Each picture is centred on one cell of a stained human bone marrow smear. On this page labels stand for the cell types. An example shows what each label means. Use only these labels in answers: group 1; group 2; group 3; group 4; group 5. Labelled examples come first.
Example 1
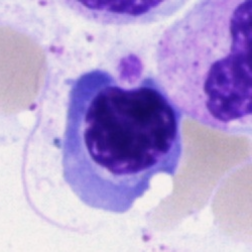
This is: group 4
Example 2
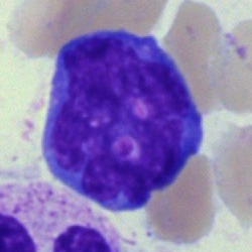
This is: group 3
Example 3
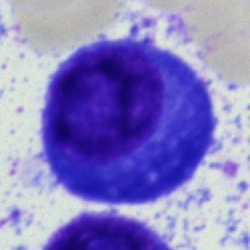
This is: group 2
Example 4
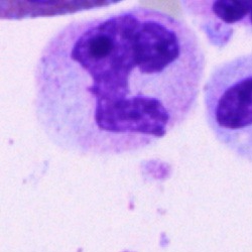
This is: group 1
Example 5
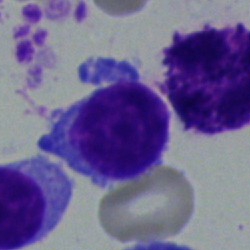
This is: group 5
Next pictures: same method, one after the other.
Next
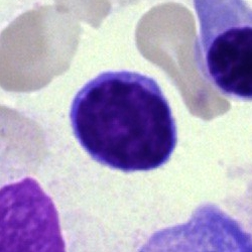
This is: group 5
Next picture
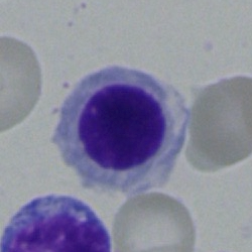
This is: group 4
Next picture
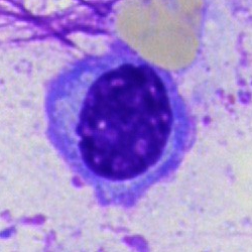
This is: group 2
